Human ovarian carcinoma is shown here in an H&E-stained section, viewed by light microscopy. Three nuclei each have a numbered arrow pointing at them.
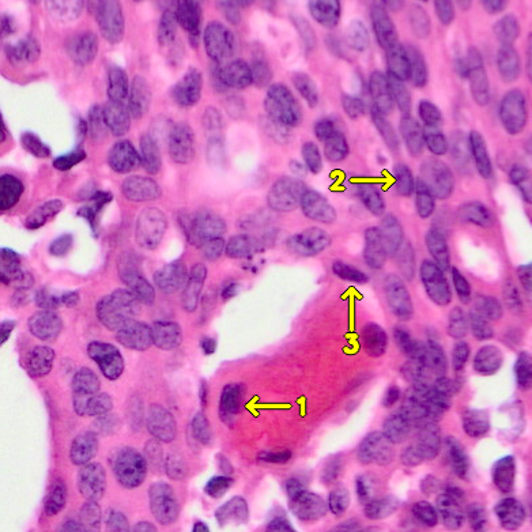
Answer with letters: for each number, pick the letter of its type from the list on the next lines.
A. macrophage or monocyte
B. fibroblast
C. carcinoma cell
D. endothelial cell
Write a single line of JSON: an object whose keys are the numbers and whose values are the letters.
{"1": "D", "2": "C", "3": "C"}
